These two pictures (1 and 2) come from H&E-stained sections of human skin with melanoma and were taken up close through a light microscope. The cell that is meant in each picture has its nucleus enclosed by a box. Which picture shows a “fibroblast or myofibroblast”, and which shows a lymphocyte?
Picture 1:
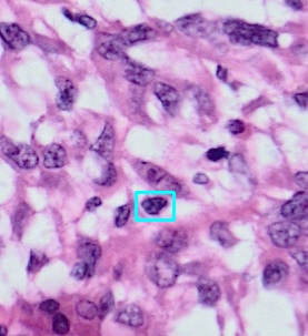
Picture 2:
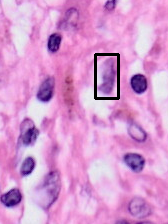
1: lymphocyte
2: fibroblast or myofibroblast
